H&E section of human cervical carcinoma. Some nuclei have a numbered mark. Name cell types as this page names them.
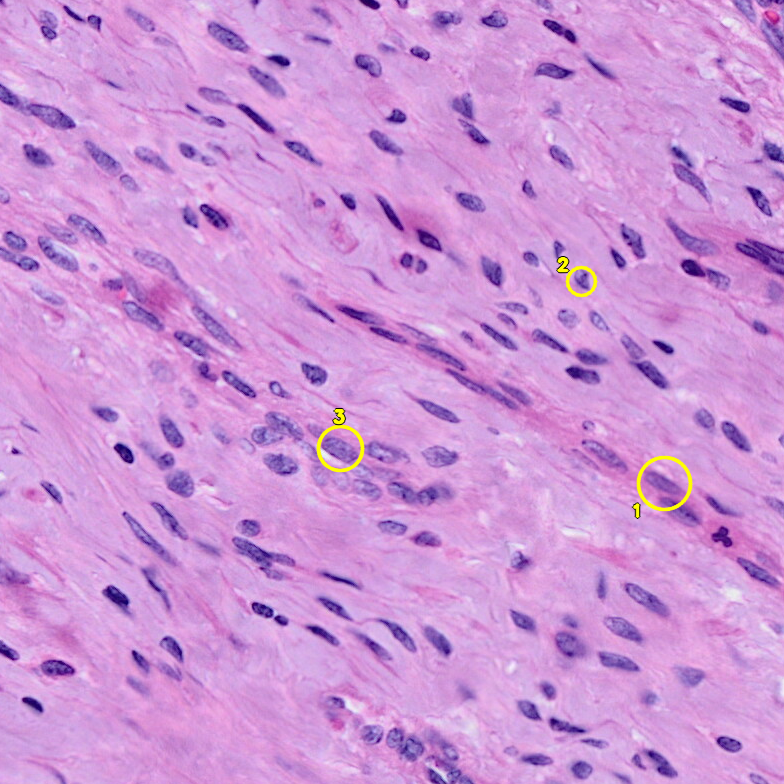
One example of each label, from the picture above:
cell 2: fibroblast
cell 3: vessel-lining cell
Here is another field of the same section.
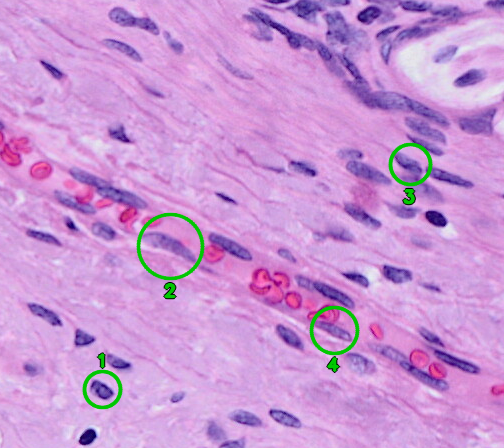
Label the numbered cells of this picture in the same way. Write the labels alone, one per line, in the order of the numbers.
fibroblast
vessel-lining cell
fibroblast
vessel-lining cell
